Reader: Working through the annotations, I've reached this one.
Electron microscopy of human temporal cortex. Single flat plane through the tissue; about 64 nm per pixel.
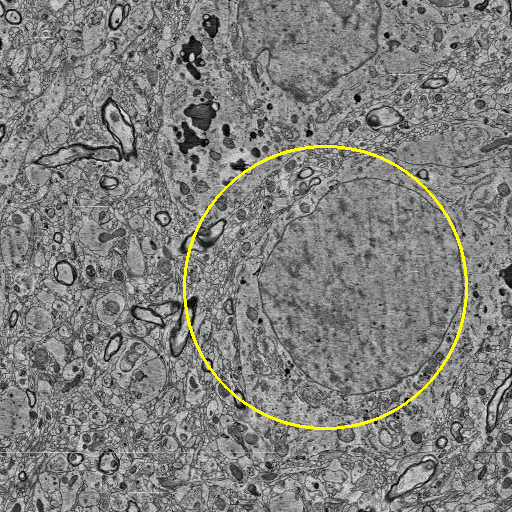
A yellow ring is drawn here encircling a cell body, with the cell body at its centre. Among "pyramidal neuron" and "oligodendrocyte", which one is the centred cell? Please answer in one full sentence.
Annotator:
The cell body at the centre of the yellow ring in this image belongs to a pyramidal neuron.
